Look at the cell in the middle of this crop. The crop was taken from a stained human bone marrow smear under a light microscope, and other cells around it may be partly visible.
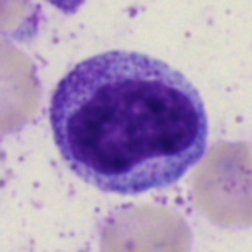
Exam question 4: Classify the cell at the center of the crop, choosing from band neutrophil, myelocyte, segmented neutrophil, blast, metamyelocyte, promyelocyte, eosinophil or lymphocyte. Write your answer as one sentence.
At the center of the crop sits a myelocyte.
